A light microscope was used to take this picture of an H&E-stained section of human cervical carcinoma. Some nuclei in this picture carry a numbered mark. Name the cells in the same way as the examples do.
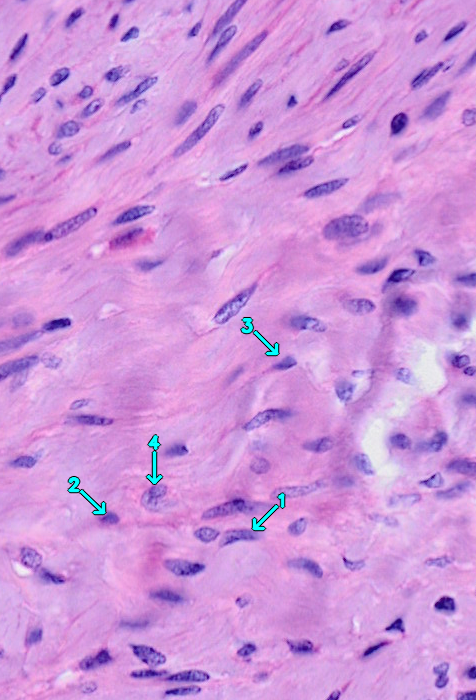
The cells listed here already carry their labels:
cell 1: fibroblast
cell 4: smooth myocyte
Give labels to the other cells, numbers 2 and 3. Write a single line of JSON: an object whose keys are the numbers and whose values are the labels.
{"2": "smooth myocyte", "3": "fibroblast"}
